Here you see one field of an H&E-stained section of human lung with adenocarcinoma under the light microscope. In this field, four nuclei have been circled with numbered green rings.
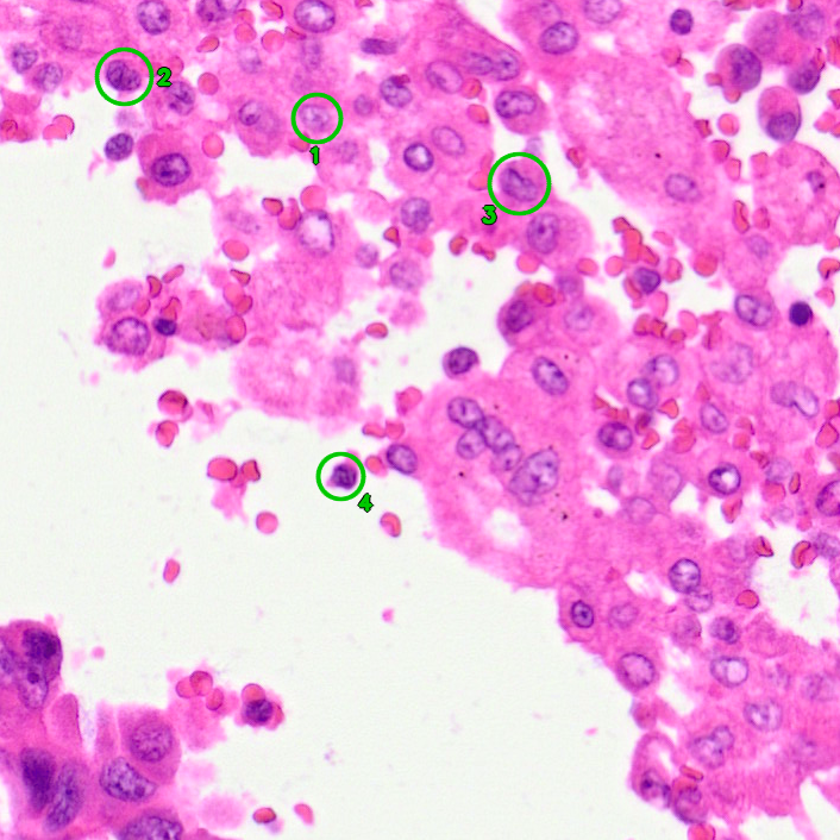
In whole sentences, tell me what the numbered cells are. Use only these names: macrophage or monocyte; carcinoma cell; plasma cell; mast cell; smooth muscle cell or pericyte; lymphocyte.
Cell 1 is a macrophage or monocyte, cell 2 is a macrophage or monocyte, cell 3 is a macrophage or monocyte and cell 4 is a lymphocyte.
